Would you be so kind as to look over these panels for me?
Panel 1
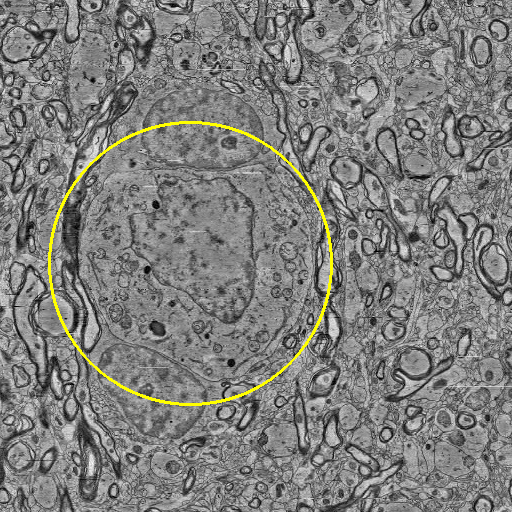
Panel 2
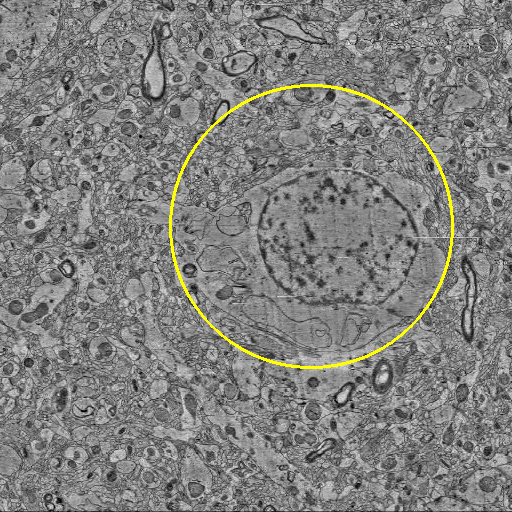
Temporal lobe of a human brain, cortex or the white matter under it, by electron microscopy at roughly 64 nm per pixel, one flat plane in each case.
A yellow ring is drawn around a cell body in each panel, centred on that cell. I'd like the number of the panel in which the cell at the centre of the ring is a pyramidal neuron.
1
